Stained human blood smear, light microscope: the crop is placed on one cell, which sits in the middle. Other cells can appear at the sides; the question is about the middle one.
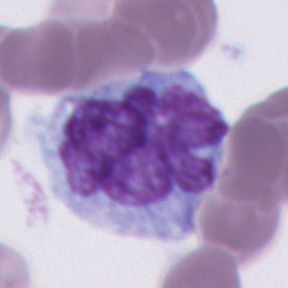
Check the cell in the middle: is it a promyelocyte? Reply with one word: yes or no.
no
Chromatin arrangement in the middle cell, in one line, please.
Here the nuclear chromatin is coarsely clumped.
